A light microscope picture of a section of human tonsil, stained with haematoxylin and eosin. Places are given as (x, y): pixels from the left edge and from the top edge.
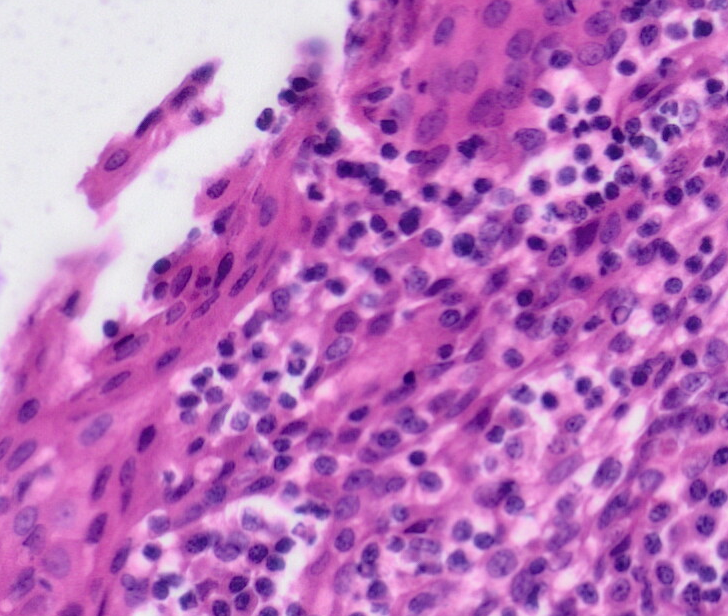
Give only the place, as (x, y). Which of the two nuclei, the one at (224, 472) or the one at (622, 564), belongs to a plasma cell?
(622, 564)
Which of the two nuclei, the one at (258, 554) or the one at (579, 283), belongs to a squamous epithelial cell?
(579, 283)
